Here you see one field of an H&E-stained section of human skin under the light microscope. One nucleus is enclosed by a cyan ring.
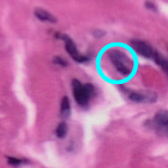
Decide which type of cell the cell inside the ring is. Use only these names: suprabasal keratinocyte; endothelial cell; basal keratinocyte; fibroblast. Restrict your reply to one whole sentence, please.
The expected answer is simply that the cell inside the ring is an endothelial cell.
